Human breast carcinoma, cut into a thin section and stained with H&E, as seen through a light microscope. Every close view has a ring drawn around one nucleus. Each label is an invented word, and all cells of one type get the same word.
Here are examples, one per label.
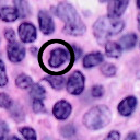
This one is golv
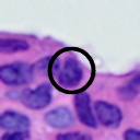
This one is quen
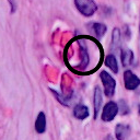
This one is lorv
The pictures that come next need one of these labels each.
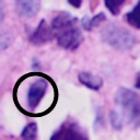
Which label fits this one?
golv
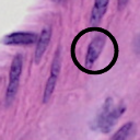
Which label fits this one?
lorv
